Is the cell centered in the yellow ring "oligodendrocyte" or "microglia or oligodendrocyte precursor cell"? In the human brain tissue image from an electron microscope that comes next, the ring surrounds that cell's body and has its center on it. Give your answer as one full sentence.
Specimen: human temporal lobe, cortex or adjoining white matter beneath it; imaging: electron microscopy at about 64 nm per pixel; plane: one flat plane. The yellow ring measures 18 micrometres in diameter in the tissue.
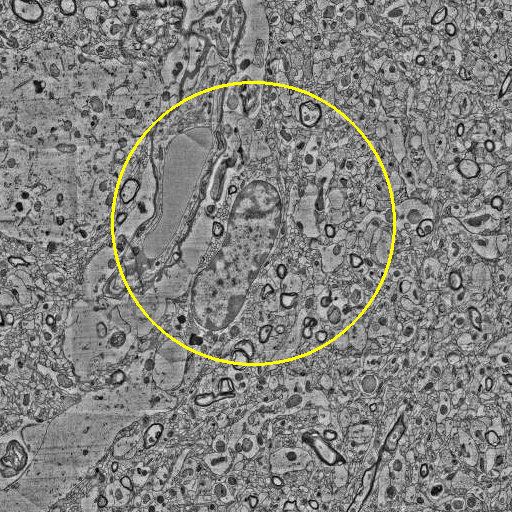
The cell at the center of the yellow ring is a microglial cell or oligodendrocyte precursor cell in the micrograph.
